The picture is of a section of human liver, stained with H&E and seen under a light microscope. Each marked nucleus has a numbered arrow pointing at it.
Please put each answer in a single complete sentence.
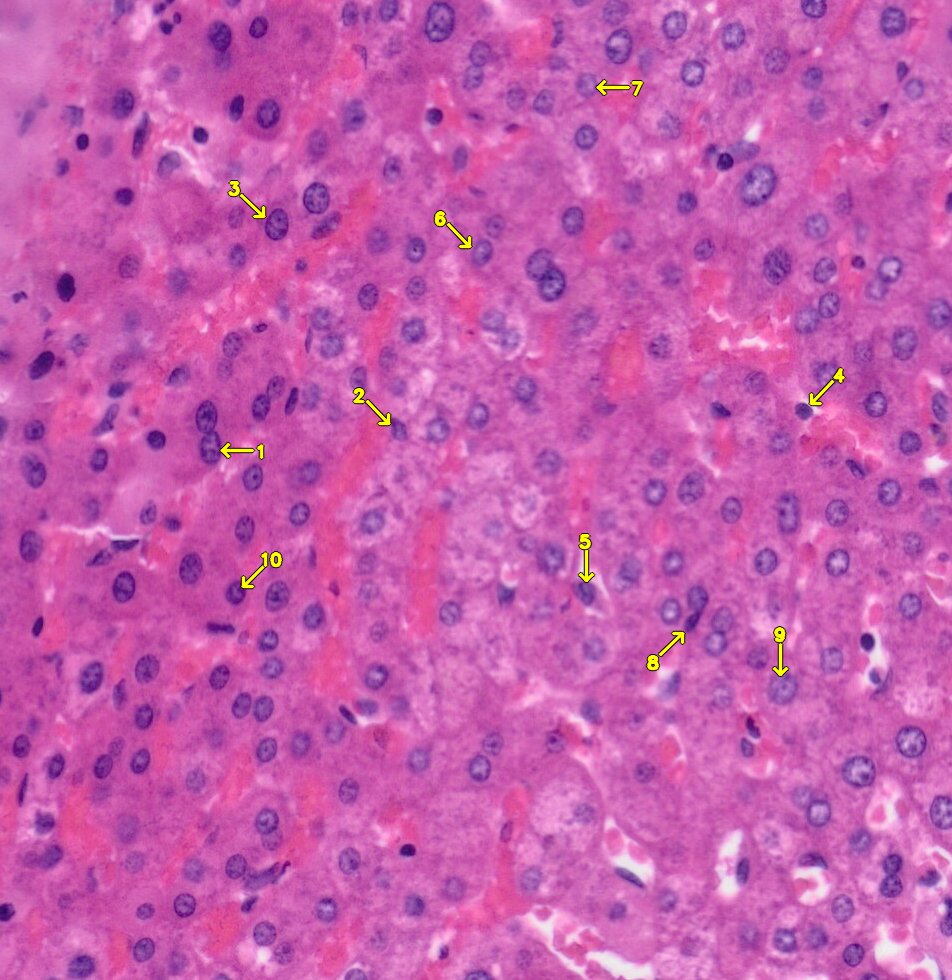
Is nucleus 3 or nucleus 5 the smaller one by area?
It is nucleus 5; nucleus 3 has about 1.5 times its area.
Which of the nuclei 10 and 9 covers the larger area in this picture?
Of the two, number 9 is bigger and takes up about 1.5 times the area of number 10.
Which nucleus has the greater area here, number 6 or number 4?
At about 1.5 times the area of nucleus 4, nucleus 6 is the larger of the two.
